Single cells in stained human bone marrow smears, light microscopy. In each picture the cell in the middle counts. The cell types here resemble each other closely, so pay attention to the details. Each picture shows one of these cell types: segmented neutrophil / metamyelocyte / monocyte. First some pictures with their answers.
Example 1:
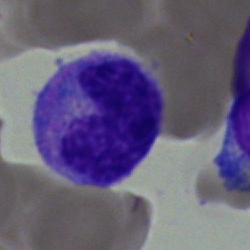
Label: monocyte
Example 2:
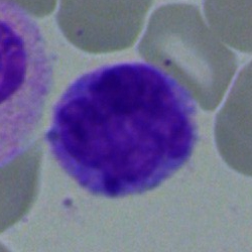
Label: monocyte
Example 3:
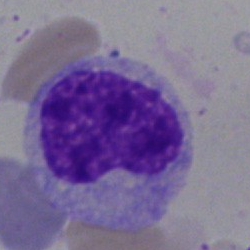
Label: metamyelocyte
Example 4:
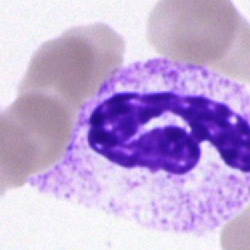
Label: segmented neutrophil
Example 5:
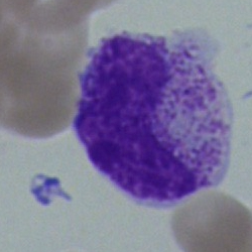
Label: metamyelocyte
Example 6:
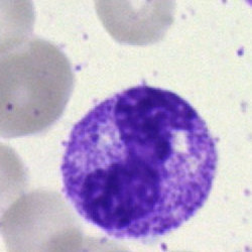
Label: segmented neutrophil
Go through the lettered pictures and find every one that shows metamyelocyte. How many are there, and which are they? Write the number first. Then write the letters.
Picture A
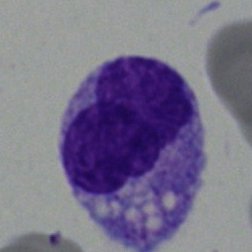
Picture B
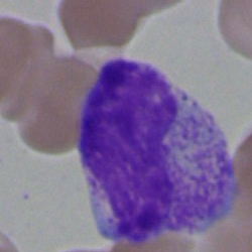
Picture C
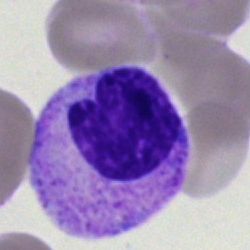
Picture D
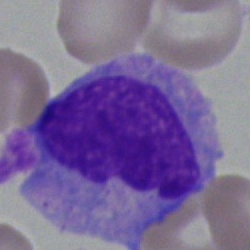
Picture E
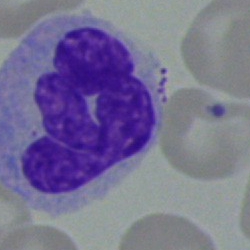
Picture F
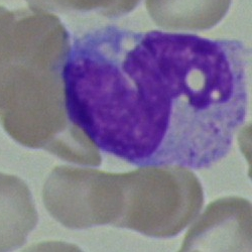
2: B, C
